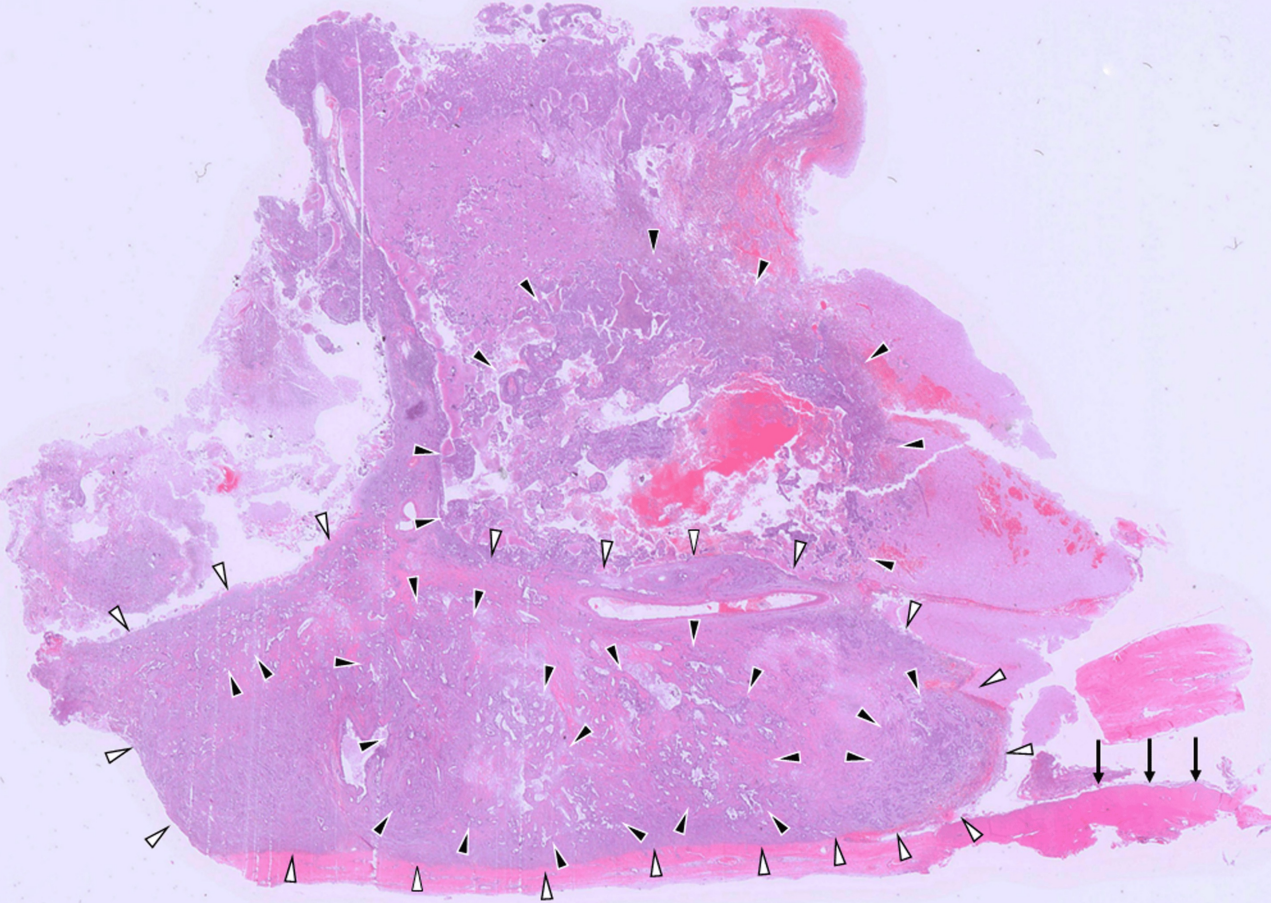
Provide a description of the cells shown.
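At very low magnification this section shows two tumors lying side by side: a solid, lobulated pink-purple mass in the lower half, resting on a thin dense bright pink band of dura along its base, and a looser, darker purple tumor above it on the parenchymal side. The upper tumor is fragmented, with pale disrupted areas of necrosis and bright red pools of hemorrhage. Darker purple areas of the upper tumor also extend into the lower solid mass, so that the two tissues appear intermingled within it.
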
